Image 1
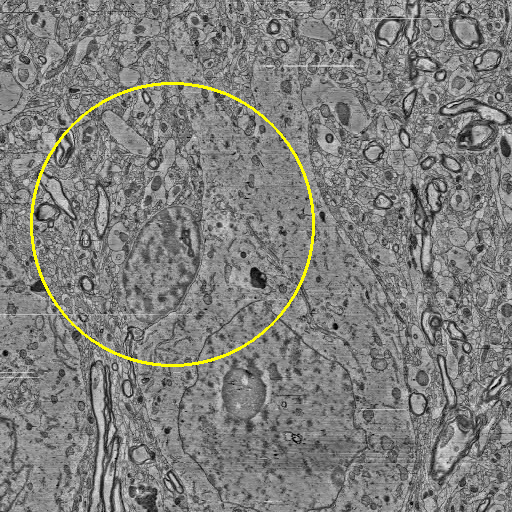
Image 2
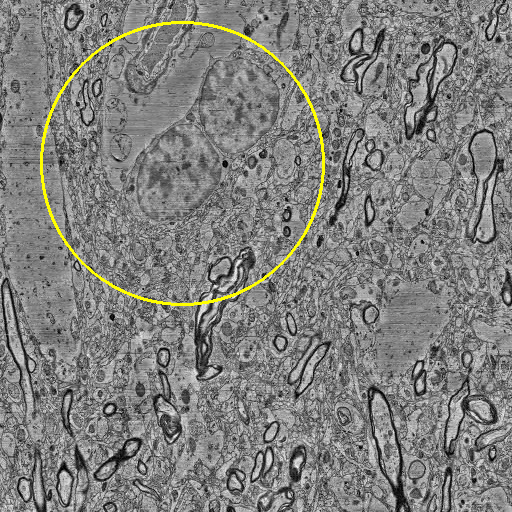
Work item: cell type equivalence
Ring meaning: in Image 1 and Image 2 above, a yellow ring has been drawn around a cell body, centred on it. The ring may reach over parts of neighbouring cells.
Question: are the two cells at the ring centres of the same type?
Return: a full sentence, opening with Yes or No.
Yes, the two centred cells are of the same type.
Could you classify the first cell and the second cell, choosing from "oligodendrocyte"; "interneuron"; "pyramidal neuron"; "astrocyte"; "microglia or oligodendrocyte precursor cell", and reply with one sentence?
The cell in the first picture is an oligodendrocyte, and so is the one in the second.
